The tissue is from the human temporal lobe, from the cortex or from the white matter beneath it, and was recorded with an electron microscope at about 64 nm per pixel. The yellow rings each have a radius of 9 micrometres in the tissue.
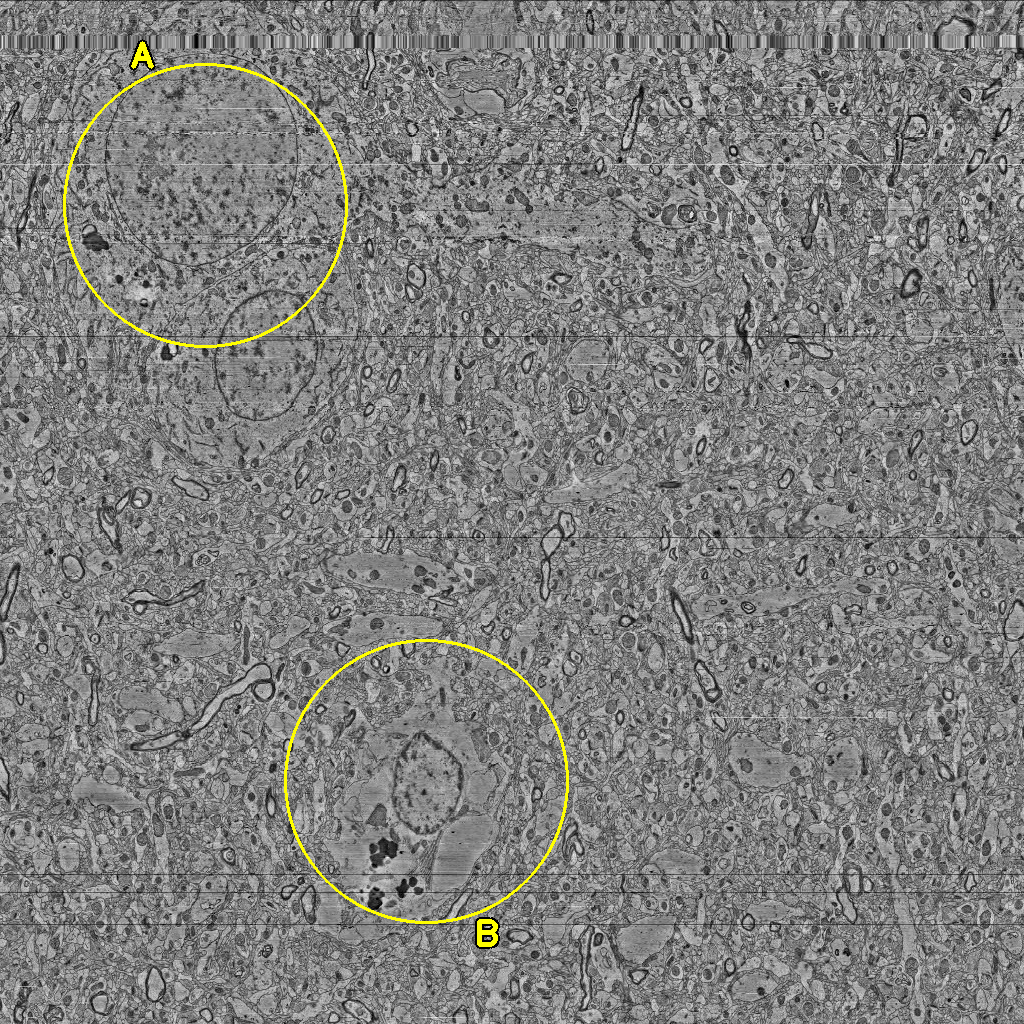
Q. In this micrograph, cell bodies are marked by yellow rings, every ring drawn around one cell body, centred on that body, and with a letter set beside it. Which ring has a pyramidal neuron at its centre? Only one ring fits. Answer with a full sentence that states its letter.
The ring lettered A surrounds the cell asked for at its centre.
